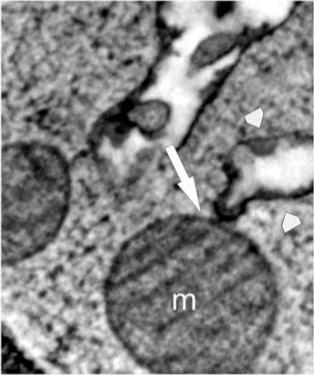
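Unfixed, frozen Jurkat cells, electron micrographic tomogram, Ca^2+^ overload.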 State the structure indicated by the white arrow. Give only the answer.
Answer: Contact sites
